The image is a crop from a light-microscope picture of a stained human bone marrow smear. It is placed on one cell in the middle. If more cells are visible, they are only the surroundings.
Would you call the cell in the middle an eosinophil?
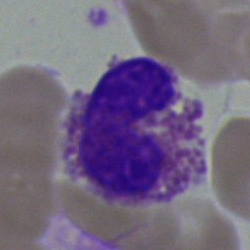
yes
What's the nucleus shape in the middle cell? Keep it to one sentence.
Between us, the nucleus here is just one compact mass, round, oval or kidney-shaped.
